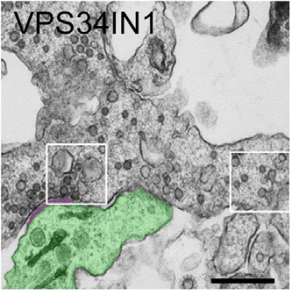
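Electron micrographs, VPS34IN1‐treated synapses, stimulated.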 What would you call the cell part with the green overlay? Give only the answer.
postsynaptic compartment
